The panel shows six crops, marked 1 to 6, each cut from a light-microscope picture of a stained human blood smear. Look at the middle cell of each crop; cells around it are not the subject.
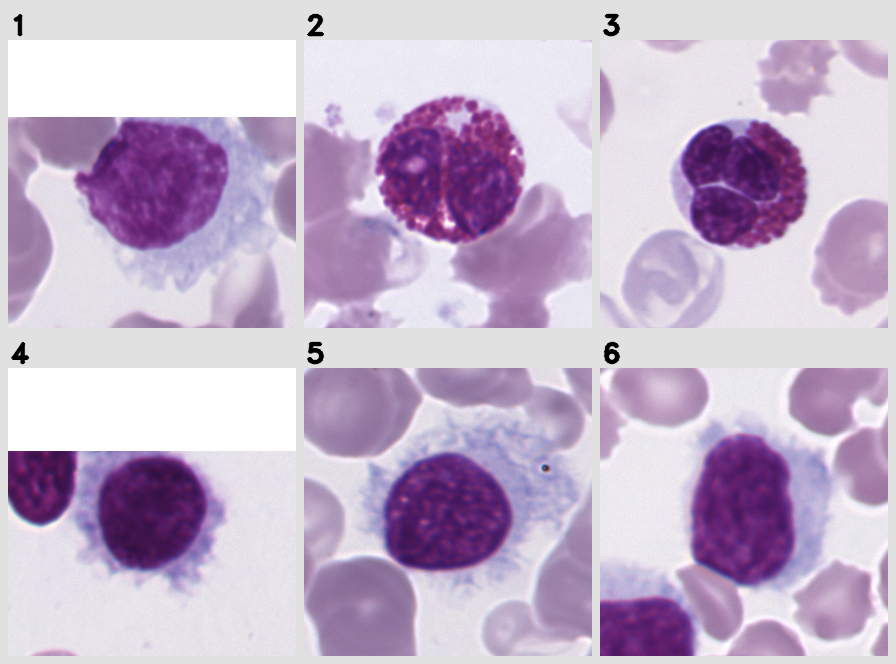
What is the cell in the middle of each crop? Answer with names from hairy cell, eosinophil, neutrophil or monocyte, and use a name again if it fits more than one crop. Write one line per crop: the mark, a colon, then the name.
1: hairy cell
2: eosinophil
3: eosinophil
4: hairy cell
5: hairy cell
6: hairy cell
